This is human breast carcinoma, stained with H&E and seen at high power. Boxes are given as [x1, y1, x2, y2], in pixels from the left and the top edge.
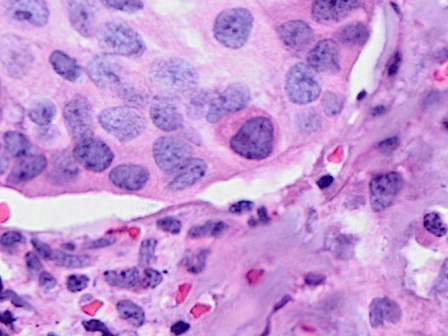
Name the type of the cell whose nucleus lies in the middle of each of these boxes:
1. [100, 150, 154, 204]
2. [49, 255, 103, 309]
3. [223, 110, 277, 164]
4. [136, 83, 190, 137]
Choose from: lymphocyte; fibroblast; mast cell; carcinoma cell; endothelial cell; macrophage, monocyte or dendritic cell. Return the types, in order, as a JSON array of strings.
["carcinoma cell", "lymphocyte", "carcinoma cell", "carcinoma cell"]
